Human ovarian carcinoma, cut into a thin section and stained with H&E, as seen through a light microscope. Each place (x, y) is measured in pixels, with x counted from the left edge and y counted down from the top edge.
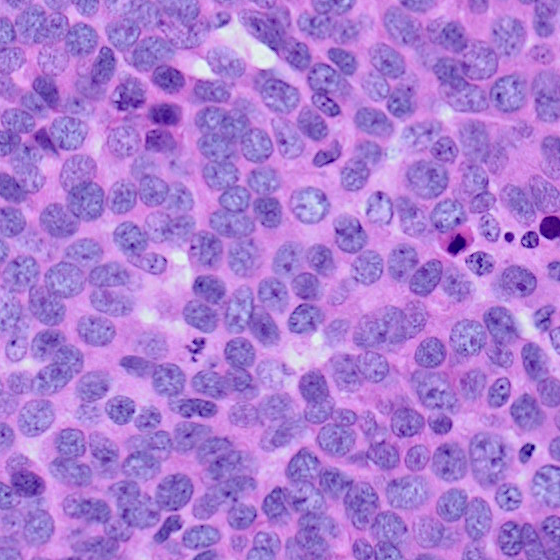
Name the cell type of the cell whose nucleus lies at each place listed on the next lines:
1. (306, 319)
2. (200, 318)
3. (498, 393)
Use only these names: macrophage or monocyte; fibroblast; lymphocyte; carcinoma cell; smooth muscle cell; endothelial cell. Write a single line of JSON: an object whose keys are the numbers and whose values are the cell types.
{"1": "carcinoma cell", "2": "carcinoma cell", "3": "macrophage or monocyte"}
